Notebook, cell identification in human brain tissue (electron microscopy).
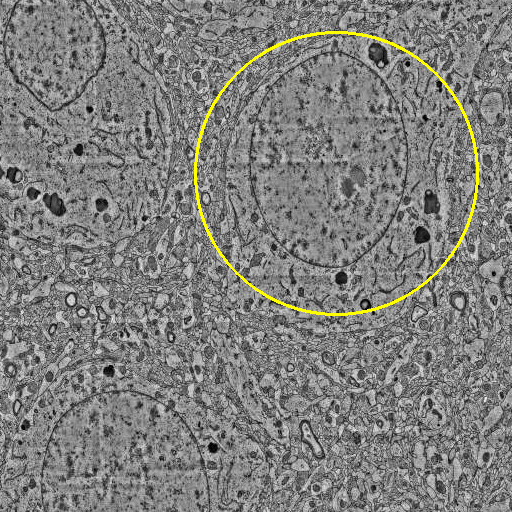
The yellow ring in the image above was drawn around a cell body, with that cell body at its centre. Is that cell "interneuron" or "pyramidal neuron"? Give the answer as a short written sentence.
The cell in the ring is a pyramidal neuron.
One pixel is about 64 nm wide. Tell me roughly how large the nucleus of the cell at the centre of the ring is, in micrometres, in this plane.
In this plane the nucleus measures roughly 14 by 10 micrometers.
